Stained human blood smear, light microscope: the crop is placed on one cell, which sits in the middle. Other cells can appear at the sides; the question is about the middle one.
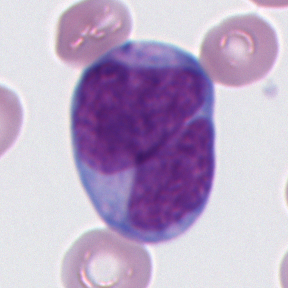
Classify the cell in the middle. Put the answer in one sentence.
In the central position of this crop, the cell is an atypical promyelocyte.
